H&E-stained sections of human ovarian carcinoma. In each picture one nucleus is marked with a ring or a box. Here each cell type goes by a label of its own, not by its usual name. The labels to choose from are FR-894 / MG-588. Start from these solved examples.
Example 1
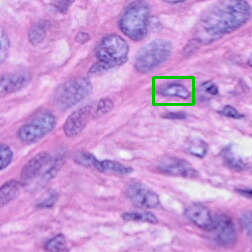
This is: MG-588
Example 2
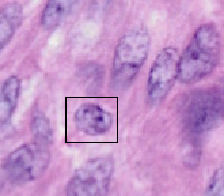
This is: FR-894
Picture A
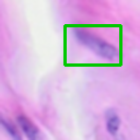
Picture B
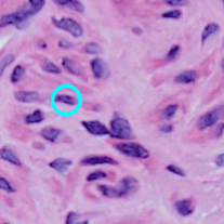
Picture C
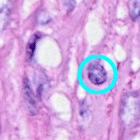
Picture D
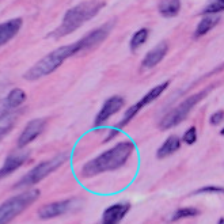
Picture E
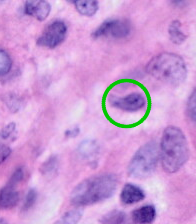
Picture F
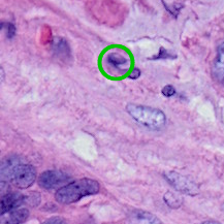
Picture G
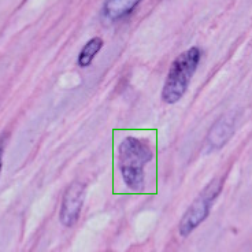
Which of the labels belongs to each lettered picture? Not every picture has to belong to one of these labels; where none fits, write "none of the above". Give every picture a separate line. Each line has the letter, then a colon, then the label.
A: none of the above
B: none of the above
C: FR-894
D: none of the above
E: FR-894
F: FR-894
G: FR-894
